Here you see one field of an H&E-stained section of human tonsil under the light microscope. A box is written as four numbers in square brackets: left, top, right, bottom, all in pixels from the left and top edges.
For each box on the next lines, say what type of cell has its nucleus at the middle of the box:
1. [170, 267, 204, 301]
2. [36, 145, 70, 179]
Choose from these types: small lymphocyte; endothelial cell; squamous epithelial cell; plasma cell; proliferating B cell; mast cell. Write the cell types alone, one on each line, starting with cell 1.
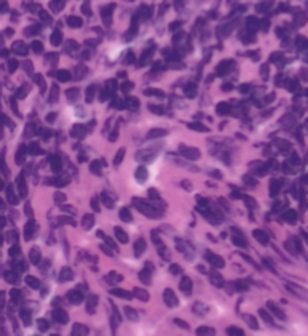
plasma cell
small lymphocyte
